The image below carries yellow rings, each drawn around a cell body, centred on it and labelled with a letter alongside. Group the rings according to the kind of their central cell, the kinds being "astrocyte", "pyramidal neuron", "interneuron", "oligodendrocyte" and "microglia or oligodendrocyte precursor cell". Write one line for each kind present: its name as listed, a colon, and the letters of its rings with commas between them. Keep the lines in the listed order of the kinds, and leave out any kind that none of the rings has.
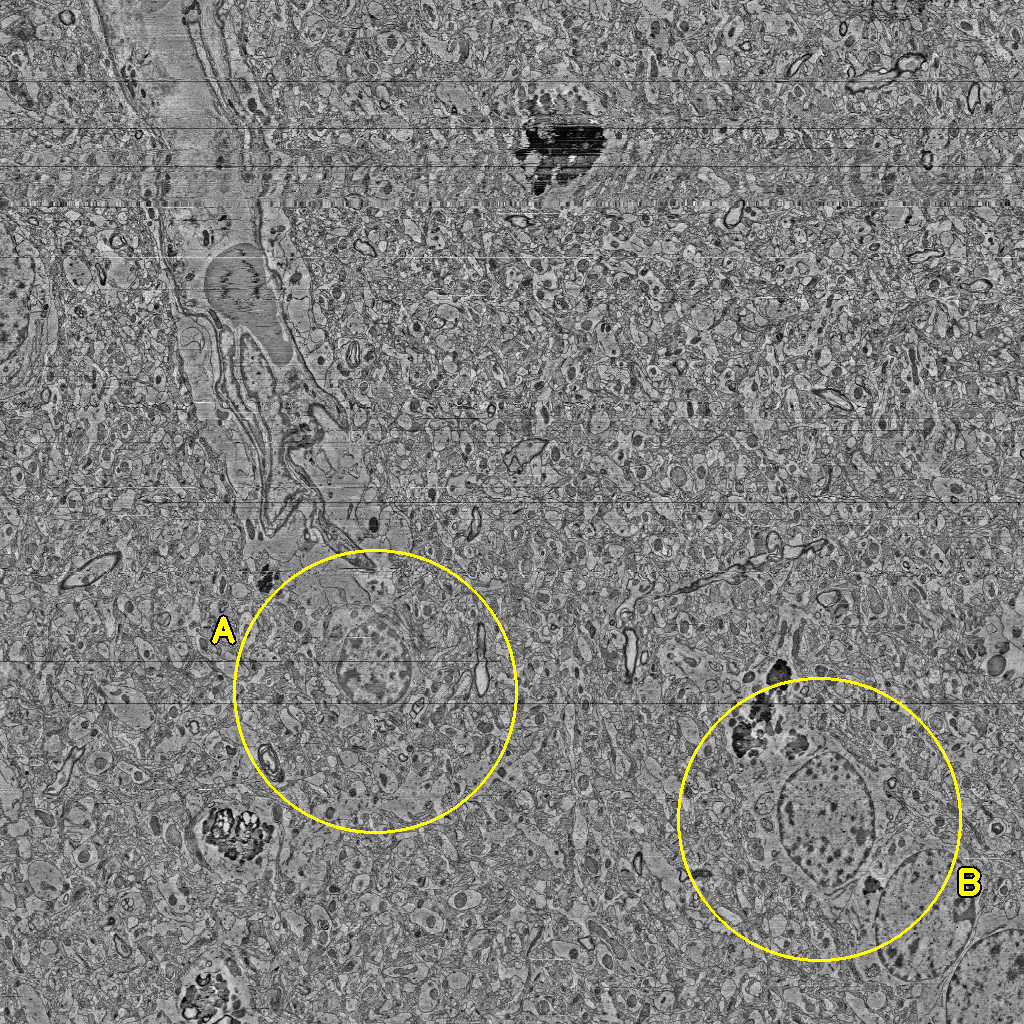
astrocyte: B
oligodendrocyte: A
